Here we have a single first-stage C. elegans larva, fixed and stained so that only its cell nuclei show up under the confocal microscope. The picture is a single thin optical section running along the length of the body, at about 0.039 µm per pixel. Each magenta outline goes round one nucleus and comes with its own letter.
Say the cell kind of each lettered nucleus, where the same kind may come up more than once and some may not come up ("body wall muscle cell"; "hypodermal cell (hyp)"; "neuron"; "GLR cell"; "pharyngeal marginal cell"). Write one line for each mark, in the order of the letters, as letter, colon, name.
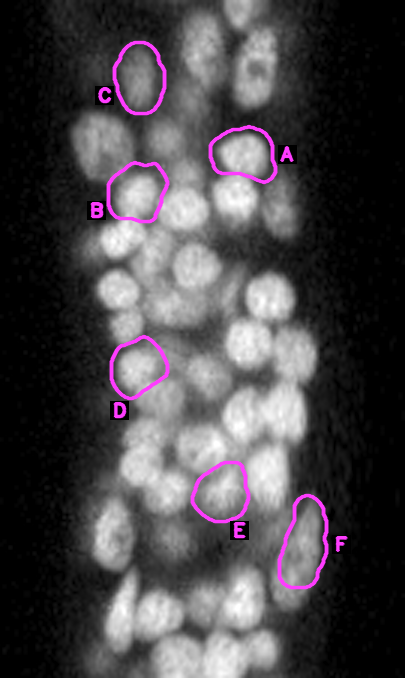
A: neuron
B: neuron
C: pharyngeal marginal cell
D: neuron
E: GLR cell
F: body wall muscle cell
